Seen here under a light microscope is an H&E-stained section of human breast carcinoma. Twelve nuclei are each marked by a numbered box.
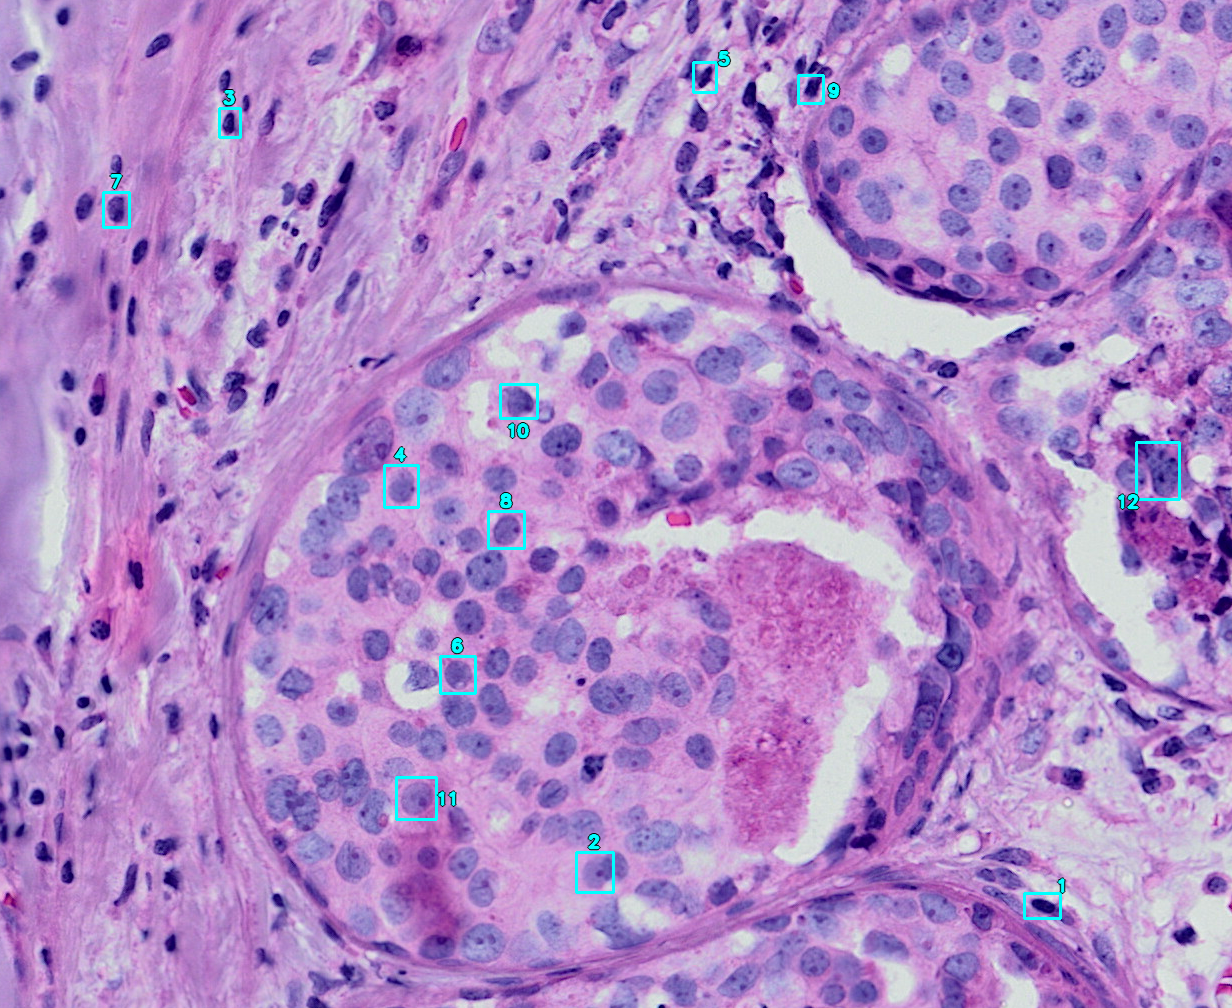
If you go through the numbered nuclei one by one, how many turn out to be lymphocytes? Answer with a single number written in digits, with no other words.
5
